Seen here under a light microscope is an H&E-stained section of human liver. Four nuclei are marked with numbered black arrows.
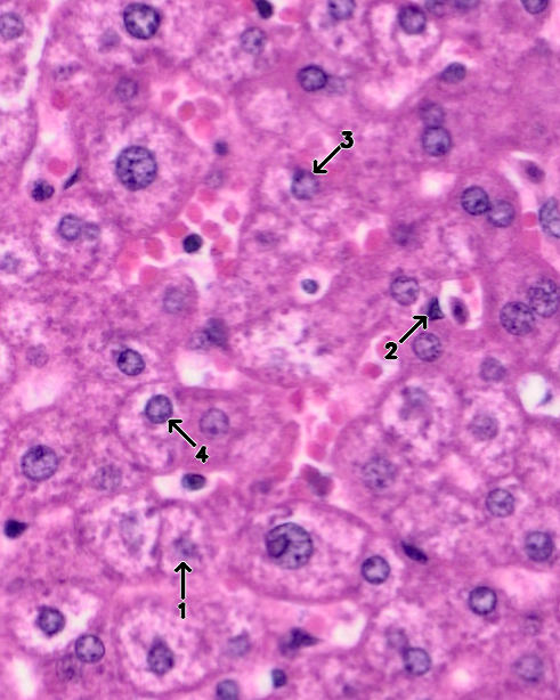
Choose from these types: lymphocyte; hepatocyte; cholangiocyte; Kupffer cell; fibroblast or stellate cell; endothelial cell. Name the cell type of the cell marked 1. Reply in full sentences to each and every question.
In this section, number 1 marks a hepatocyte.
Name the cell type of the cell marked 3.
The marked cell bearing number 3 is a hepatocyte.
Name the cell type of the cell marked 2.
In this section, the cell tagged 2 is a fibroblast or stellate cell.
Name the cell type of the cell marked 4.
The cell marked with number 4 is a hepatocyte.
